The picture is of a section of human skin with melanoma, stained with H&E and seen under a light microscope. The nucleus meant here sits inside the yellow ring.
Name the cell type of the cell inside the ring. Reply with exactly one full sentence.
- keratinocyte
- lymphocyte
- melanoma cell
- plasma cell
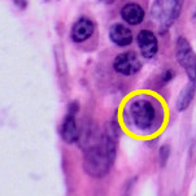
It is as a plasma cell that the cell inside the ring is recorded.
